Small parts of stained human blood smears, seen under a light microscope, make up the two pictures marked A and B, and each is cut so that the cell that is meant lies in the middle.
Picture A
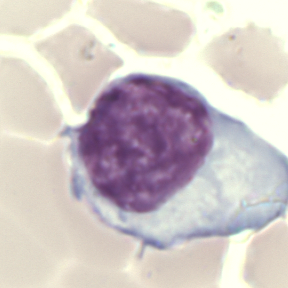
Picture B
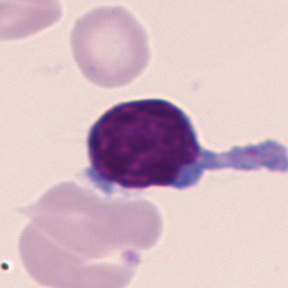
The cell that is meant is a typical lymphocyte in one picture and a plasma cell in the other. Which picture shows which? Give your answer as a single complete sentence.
Picture A shows a plasma cell and picture B shows a typical lymphocyte.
